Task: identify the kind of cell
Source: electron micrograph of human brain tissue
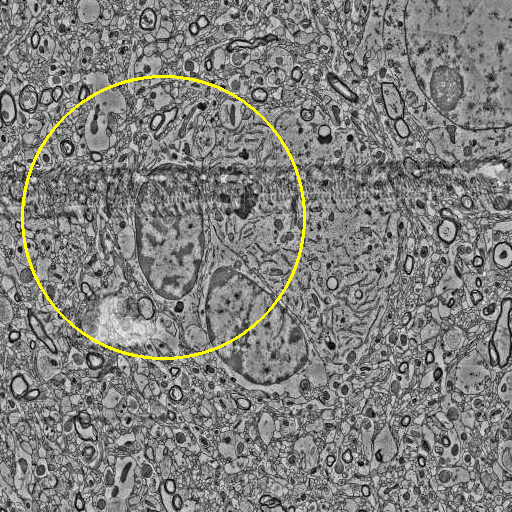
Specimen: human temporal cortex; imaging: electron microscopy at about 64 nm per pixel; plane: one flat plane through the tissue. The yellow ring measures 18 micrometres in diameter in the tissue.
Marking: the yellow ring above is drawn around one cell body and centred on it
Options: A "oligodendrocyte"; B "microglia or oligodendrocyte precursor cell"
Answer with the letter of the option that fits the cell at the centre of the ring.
B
